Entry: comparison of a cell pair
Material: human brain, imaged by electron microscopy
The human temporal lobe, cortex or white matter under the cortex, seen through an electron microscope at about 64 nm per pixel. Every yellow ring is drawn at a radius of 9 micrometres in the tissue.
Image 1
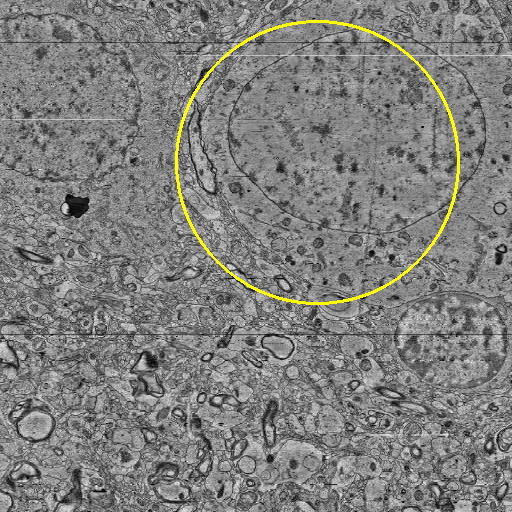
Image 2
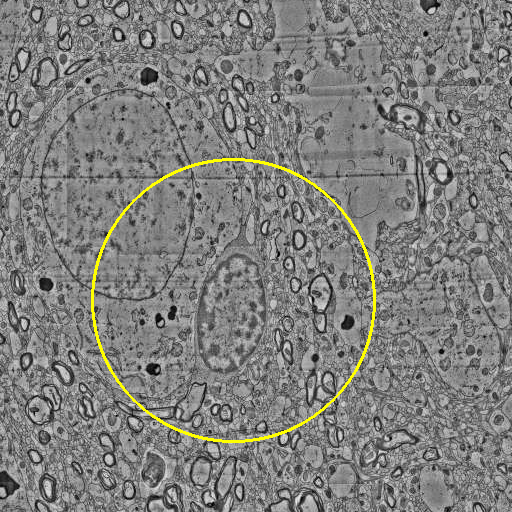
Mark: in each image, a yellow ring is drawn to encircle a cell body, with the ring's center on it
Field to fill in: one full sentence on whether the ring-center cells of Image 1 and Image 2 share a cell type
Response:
No, Image 1 and Image 2 show ring-center cells of two separate types.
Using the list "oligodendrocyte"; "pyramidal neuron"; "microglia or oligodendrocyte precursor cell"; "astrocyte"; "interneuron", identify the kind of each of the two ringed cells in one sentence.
The first is a pyramidal neuron and the second is an oligodendrocyte.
